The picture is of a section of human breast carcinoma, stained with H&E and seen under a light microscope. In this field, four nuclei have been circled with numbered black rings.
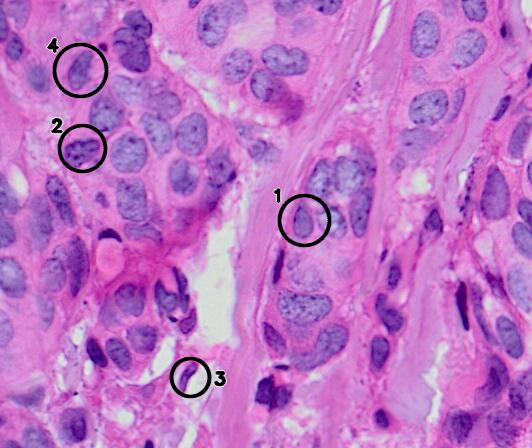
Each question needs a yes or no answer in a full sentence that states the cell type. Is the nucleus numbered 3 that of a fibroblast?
Yes, it checks out; the cell labelled 3 is a fibroblast.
